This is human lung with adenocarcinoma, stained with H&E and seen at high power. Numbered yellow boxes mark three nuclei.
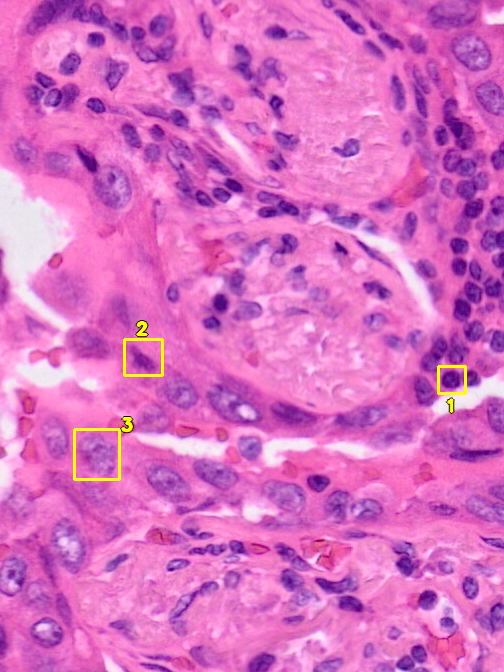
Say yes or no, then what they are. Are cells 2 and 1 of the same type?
No, cell 2 is a carcinoma cell and cell 1 is a lymphocyte.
